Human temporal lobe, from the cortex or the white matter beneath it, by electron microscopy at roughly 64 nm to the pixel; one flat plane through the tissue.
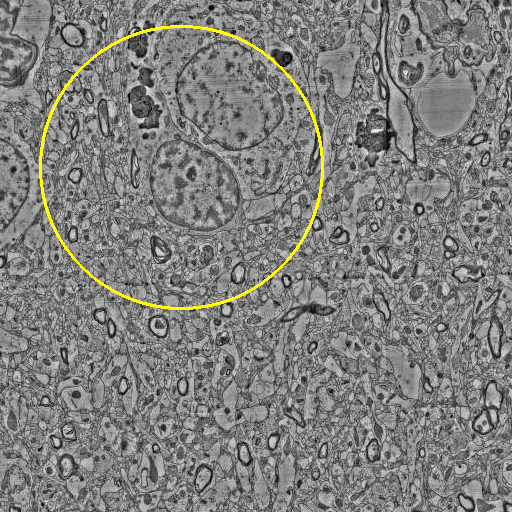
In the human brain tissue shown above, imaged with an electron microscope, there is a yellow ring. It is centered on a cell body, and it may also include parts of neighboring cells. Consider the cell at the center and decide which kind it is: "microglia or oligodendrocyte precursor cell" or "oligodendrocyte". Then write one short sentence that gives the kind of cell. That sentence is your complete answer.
This centered cell body is that of an oligodendrocyte.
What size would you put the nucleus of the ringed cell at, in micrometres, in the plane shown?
The nucleus is approximately 6 micrometers long by 5 micrometers wide in this plane.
